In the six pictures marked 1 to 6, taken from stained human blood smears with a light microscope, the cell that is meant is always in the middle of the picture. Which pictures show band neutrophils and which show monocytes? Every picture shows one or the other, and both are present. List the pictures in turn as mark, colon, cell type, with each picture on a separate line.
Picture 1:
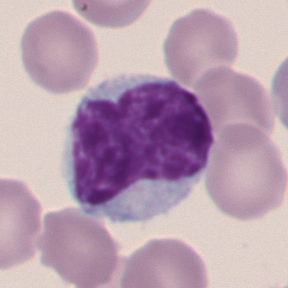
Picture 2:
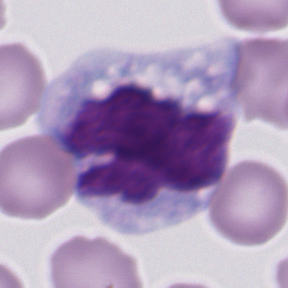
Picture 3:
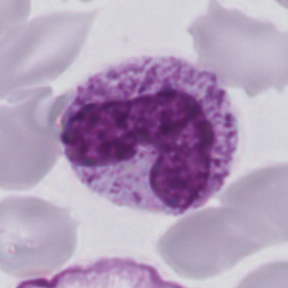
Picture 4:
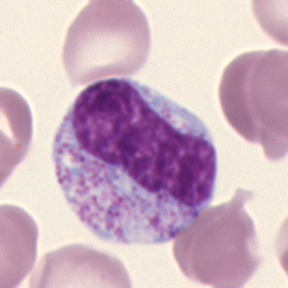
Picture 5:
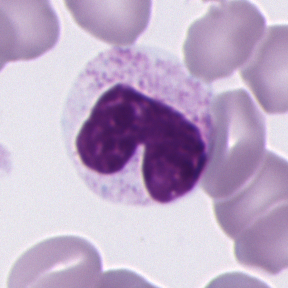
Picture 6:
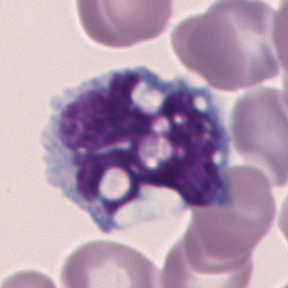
1: monocyte
2: monocyte
3: band neutrophil
4: band neutrophil
5: band neutrophil
6: monocyte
